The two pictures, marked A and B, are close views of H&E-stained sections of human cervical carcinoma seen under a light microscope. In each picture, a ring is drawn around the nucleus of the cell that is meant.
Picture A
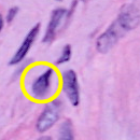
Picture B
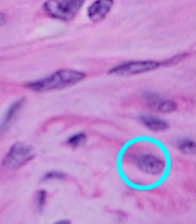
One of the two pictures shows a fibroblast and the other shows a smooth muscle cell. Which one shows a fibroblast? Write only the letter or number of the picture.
A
